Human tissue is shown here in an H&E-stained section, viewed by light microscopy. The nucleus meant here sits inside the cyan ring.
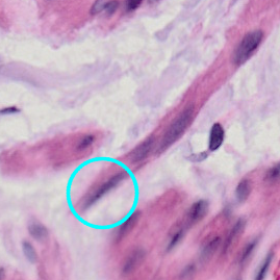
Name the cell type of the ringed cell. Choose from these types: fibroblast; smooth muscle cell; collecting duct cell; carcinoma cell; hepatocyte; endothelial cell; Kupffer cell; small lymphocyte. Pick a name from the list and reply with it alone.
smooth muscle cell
